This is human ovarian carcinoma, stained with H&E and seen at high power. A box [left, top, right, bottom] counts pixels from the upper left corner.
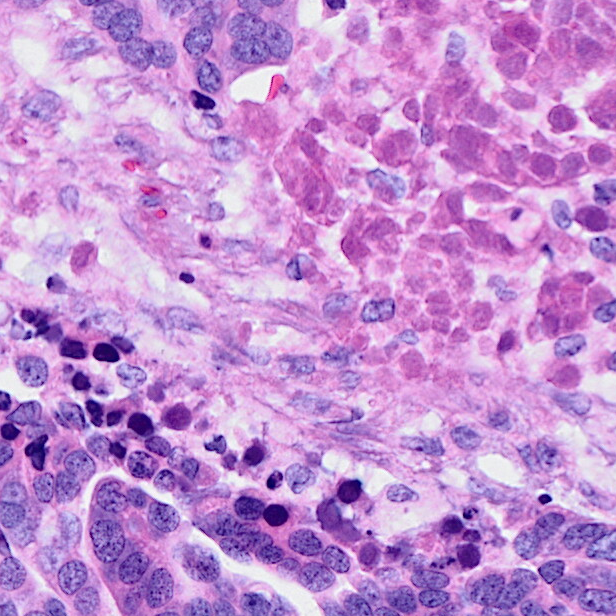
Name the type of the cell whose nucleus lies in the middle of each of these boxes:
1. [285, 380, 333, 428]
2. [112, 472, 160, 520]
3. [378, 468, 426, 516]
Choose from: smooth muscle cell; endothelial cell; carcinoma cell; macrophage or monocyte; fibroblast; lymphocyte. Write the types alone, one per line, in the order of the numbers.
fibroblast
carcinoma cell
macrophage or monocyte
